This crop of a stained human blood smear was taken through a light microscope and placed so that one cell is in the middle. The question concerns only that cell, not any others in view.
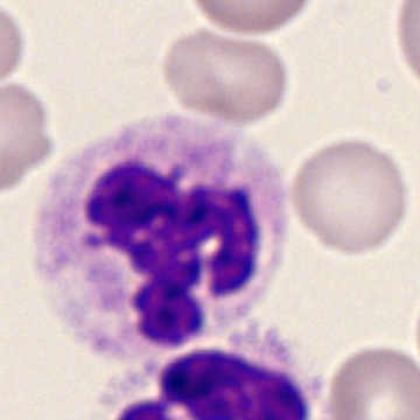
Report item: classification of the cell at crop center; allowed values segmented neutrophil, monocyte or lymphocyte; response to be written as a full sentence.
The cell that lies at the centre of the crop is a segmented neutrophil.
